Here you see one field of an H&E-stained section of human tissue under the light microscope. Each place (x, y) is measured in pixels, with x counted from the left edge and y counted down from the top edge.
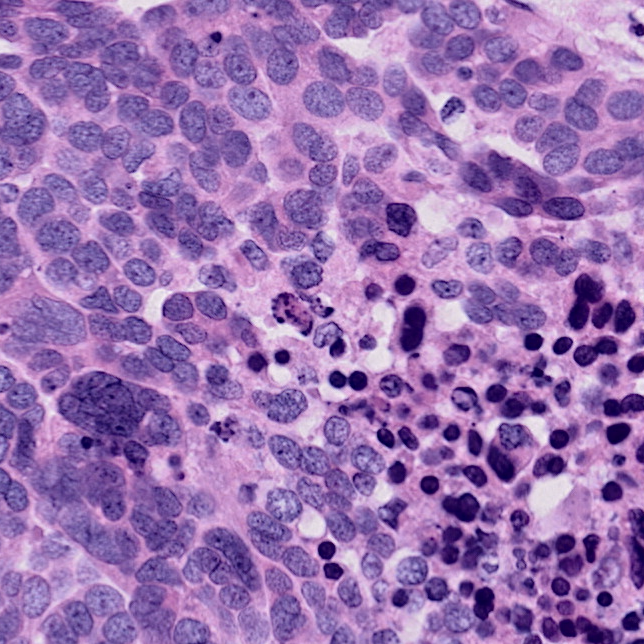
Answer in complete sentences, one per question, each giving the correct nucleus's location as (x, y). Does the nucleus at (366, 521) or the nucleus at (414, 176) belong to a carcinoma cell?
Of the two, the nucleus lying at (366, 521) is the one belonging to a carcinoma cell.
